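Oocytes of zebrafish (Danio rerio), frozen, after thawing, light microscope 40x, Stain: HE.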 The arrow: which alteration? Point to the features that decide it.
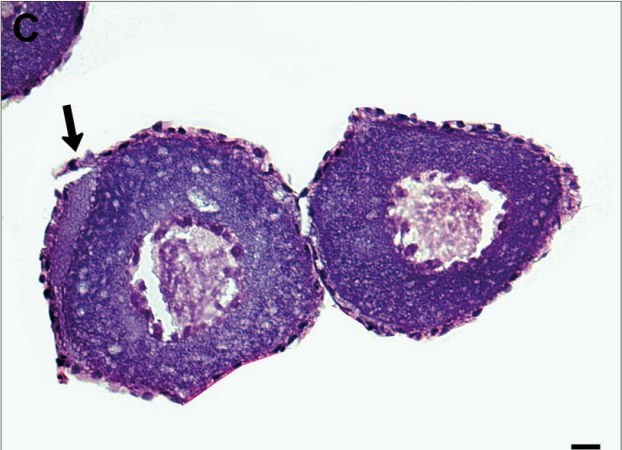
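Follicular membrane rupture. The arrow points to a gap in the thin layer of flat cells surrounding the oocyte. At the gap the outer layer is lifted and separated from the oocyte surface.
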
